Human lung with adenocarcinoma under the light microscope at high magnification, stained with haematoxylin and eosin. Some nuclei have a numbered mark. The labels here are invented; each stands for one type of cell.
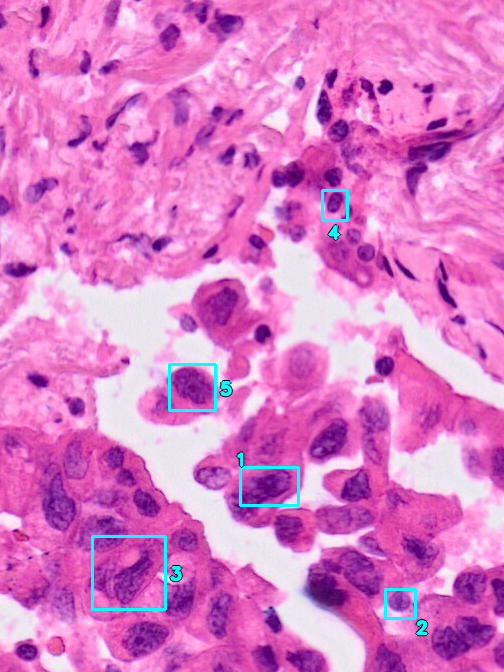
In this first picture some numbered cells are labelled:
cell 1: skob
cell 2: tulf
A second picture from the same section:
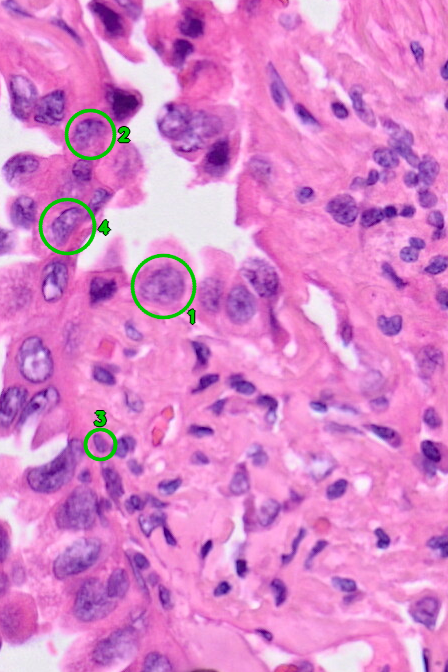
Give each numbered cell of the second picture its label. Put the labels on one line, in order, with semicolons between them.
skob; skob; tulf; skob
